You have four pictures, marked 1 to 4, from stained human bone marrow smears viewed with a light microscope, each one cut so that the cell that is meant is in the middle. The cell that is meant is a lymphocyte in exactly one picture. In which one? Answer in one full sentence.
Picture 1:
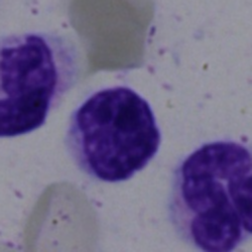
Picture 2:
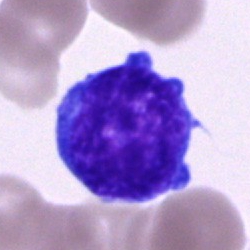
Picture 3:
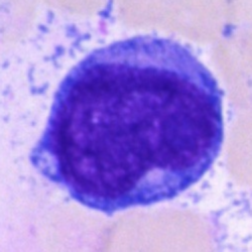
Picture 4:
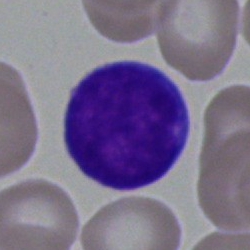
The cell in picture 1 is the lymphocyte.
